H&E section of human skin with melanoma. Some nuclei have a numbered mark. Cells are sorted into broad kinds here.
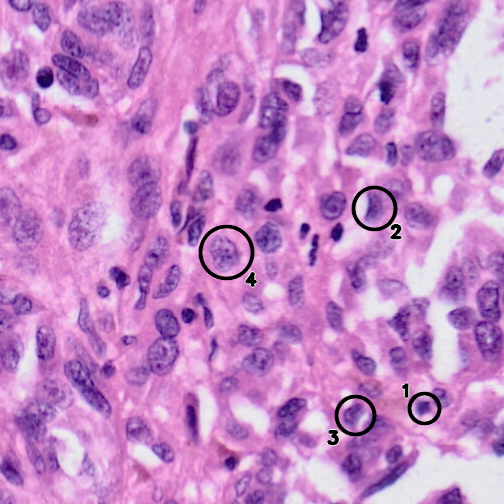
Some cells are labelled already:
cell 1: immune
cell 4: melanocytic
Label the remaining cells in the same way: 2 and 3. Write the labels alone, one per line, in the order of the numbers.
melanocytic
melanocytic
